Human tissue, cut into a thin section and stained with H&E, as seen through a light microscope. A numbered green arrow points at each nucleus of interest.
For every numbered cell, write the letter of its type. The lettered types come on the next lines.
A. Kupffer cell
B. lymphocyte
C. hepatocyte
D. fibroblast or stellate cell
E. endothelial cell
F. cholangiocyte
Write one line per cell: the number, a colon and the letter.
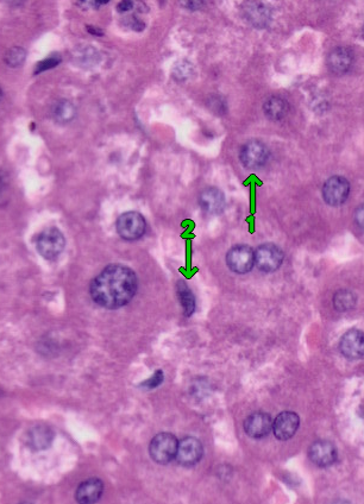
1: C
2: A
